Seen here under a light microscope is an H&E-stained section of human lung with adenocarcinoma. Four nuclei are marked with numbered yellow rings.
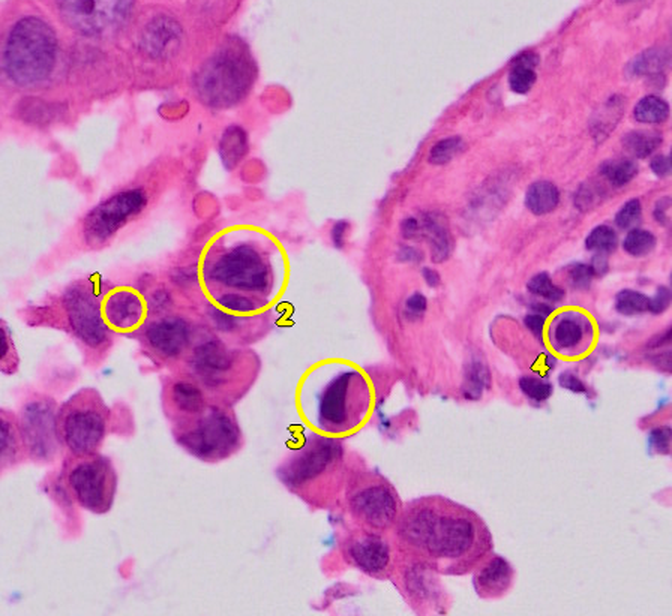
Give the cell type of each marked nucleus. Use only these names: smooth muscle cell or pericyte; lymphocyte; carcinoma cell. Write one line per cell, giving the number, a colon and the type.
1: carcinoma cell
2: carcinoma cell
3: carcinoma cell
4: lymphocyte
